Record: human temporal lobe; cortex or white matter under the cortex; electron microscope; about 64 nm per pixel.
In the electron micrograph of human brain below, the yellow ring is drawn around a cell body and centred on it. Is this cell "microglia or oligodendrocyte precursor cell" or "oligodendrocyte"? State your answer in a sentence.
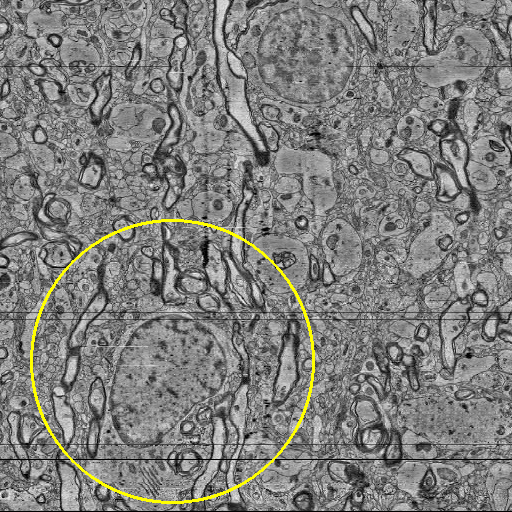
The cell in the middle of the ring is a microglial cell or oligodendrocyte precursor cell.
